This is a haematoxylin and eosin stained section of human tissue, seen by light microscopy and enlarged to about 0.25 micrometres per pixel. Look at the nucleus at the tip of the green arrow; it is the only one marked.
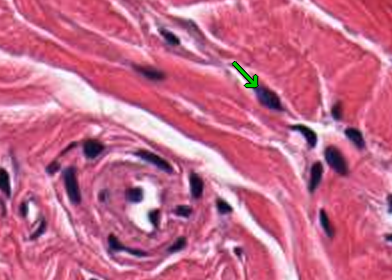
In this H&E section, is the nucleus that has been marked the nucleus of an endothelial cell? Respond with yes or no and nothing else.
no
